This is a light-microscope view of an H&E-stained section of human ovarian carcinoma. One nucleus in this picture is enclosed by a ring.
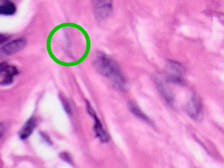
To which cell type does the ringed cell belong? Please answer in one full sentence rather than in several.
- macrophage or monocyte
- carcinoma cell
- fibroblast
Labelled by cell type, the ringed cell is a fibroblast.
